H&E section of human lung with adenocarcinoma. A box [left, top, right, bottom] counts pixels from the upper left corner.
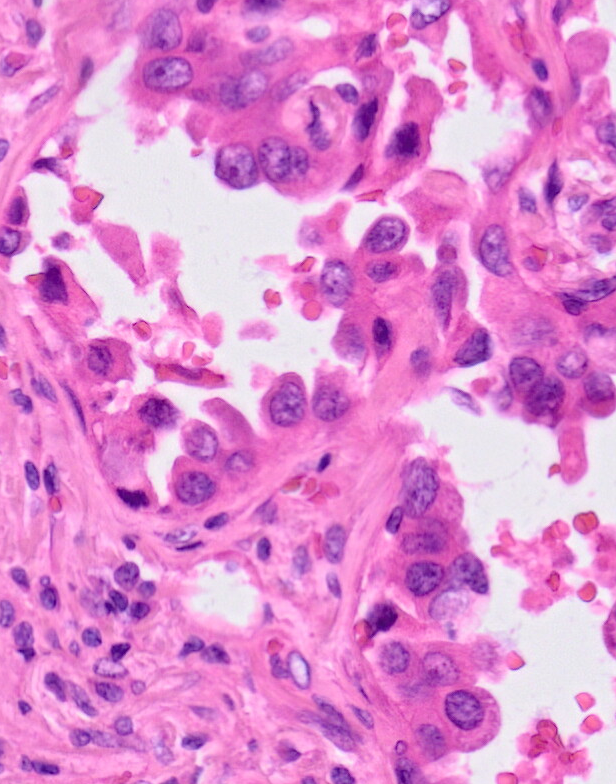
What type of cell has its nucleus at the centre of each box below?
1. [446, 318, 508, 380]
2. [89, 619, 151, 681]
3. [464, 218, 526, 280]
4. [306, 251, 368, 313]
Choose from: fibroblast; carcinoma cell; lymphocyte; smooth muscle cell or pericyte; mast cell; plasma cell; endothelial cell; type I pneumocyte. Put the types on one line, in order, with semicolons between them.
carcinoma cell; lymphocyte; carcinoma cell; carcinoma cell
